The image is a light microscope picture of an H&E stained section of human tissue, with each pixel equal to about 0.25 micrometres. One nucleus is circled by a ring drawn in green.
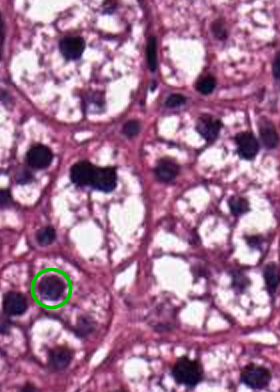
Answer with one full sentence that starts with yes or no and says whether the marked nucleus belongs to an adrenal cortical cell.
Yes, the marked nucleus is to be assigned to an adrenal cortical cell.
